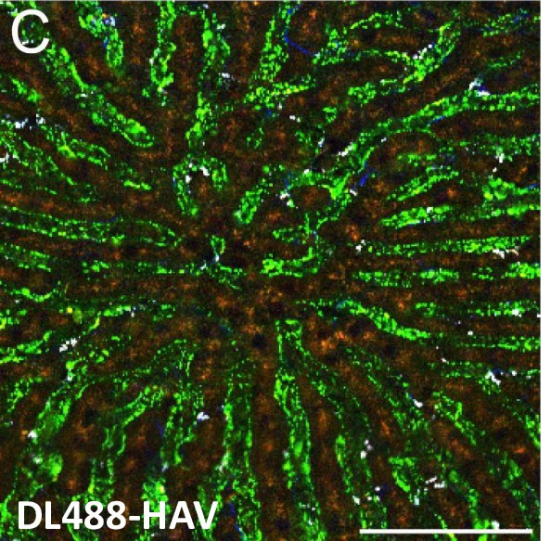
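Liver lobule tissue seen with rows of brownish-orange hepatocytes radiating from a central point like spokes, separated by narrow channels, the sinusoids. The radial spoke-like layout of cords and sinusoids converging on a dark central spot suggests the field is centred on a central vein.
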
